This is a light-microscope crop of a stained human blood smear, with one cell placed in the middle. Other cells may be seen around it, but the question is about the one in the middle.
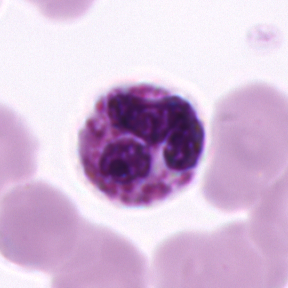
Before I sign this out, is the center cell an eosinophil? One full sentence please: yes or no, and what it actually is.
Yes, the central cell here is an eosinophil.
